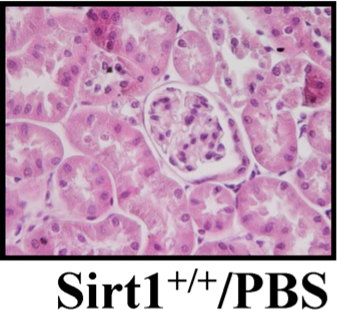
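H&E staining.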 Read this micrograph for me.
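Normal kidney cortex showing cross-sectioned tubules and a glomerulus. The tubules are lined by a single layer of cuboidal epithelial cells with abundant pink granular cytoplasm and round purple nuclei near the base; many have a fuzzy luminal brush border and narrow, star-shaped lumens. In the centre a glomerulus appears as a rounded tuft of capillary loops with many small nuclei, surrounded by a thin clear capsular space. Thin interstitium with a few flattened nuclei separates neighbouring tubules, which are closely packed and regular.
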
